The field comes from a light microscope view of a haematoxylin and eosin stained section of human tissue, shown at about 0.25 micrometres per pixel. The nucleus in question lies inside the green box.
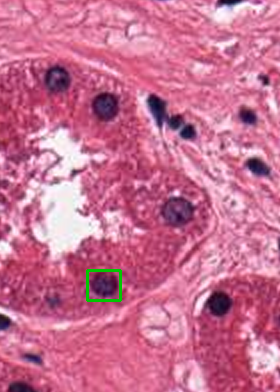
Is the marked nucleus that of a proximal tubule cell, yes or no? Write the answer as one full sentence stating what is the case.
Yes, the marked nucleus is one belonging to a proximal tubule cell.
